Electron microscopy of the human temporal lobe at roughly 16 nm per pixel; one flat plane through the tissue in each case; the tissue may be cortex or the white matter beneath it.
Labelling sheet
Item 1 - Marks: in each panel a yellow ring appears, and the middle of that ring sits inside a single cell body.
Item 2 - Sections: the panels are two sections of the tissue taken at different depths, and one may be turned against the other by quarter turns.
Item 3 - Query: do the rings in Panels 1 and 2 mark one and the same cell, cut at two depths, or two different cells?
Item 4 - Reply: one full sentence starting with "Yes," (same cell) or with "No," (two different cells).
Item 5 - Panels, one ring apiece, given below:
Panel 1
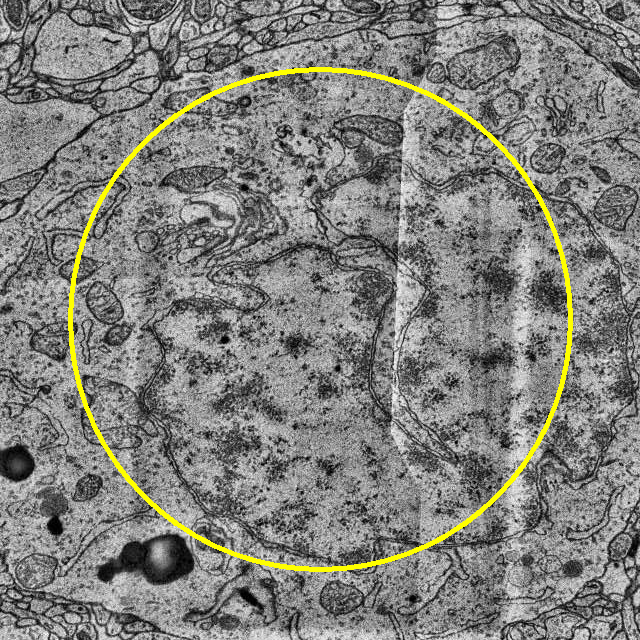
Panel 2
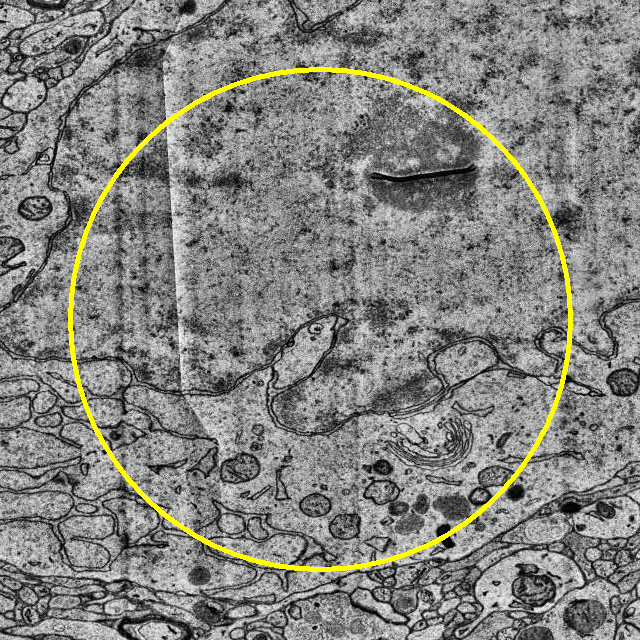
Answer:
No, the two rings are drawn around two distinct cells.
